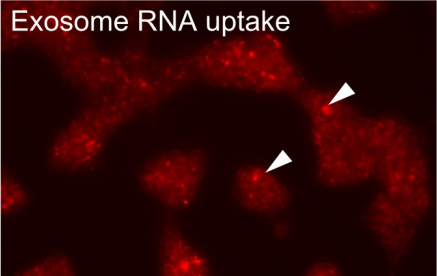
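Cultured cells grow as irregular, rounded to branching clusters separated by dark, empty spaces. Red fluorescence fills the clusters diffusely, with brighter punctate foci scattered within them.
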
